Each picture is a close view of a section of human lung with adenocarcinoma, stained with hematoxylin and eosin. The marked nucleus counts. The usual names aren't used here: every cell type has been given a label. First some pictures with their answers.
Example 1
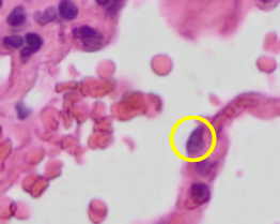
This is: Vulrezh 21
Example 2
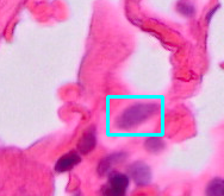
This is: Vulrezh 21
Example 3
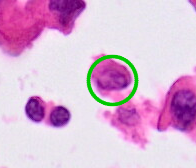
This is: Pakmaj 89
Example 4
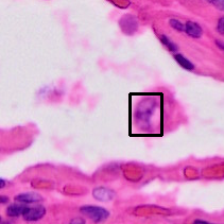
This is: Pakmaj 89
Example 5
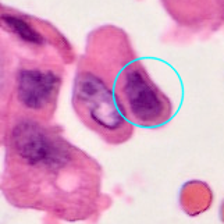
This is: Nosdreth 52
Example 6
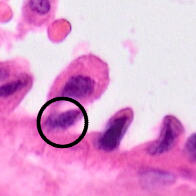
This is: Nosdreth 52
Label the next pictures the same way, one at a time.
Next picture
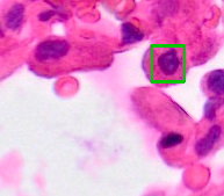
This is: Pakmaj 89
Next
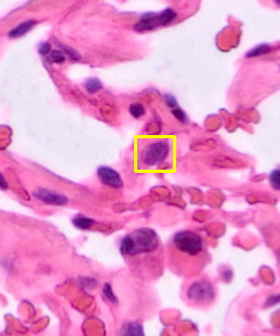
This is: Vulrezh 21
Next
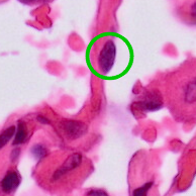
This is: Vulrezh 21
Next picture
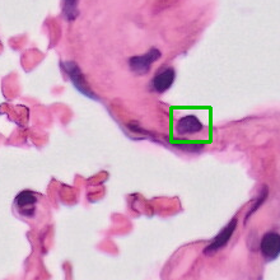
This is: Vulrezh 21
